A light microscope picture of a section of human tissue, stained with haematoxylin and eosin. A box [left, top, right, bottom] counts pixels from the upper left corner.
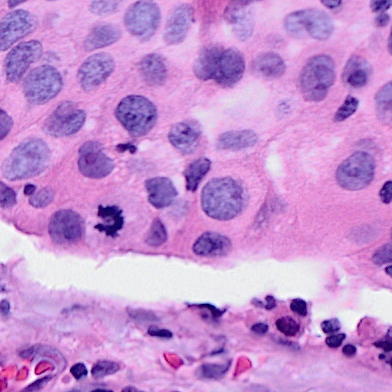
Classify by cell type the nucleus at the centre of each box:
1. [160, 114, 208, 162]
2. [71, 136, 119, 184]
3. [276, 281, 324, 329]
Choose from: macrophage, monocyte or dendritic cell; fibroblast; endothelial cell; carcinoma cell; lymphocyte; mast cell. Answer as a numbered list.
1. carcinoma cell
2. carcinoma cell
3. lymphocyte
